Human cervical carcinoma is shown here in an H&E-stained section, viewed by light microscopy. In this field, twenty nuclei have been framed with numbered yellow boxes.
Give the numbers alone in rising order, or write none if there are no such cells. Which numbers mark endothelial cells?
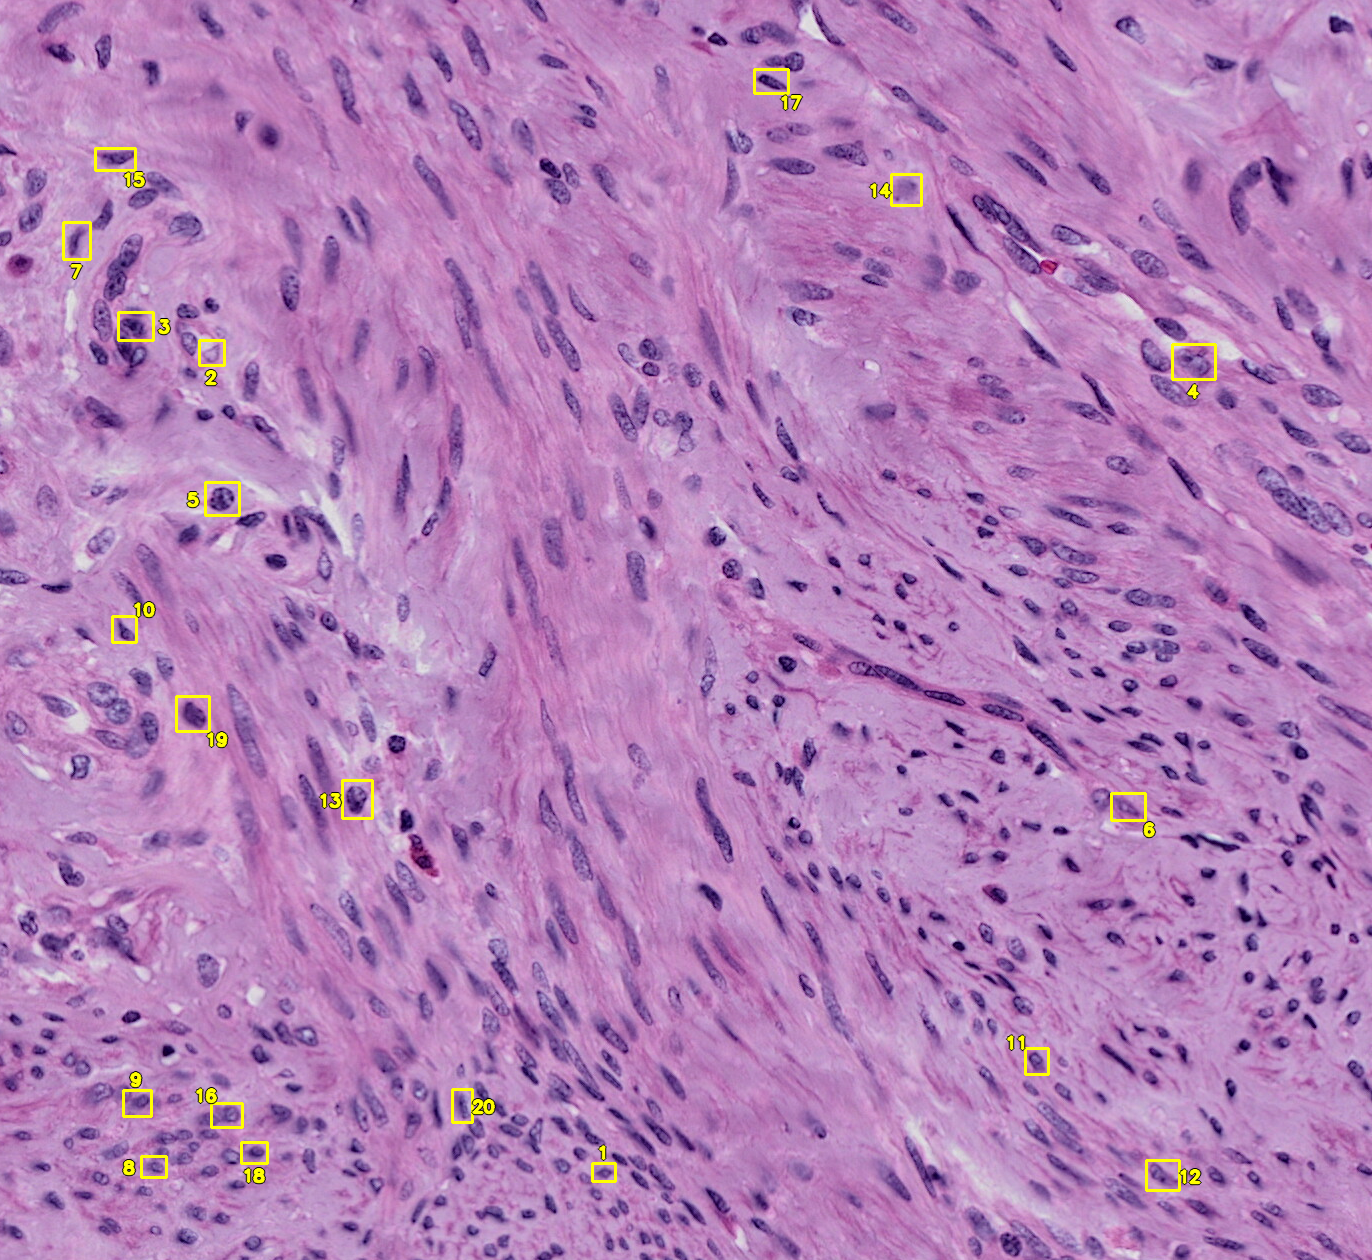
2, 3, 4, 6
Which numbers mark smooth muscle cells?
1, 8, 9, 11, 12, 16, 18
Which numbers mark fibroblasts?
7, 10, 14, 15, 17, 20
